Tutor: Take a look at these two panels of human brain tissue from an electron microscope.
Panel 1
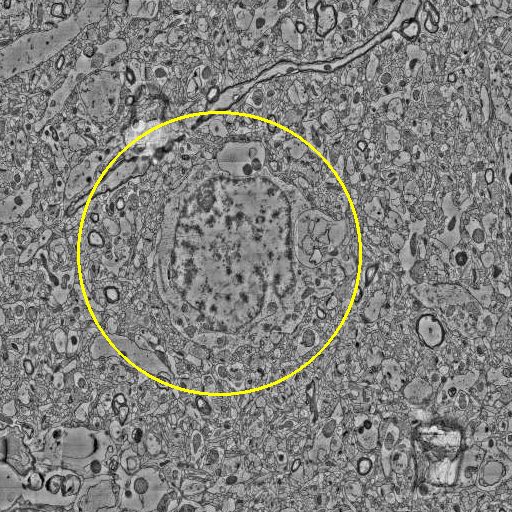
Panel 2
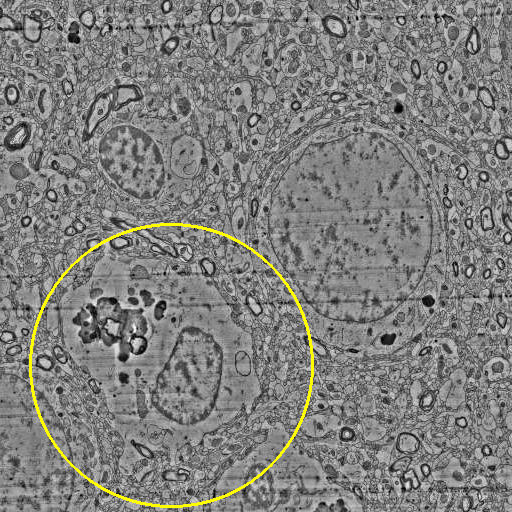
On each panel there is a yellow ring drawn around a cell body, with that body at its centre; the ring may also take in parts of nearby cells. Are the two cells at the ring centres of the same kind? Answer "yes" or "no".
no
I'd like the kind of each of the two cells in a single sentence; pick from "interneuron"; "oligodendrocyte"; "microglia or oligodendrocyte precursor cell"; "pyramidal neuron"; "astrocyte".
The first ring marks an interneuron, and the second ring marks an astrocyte.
